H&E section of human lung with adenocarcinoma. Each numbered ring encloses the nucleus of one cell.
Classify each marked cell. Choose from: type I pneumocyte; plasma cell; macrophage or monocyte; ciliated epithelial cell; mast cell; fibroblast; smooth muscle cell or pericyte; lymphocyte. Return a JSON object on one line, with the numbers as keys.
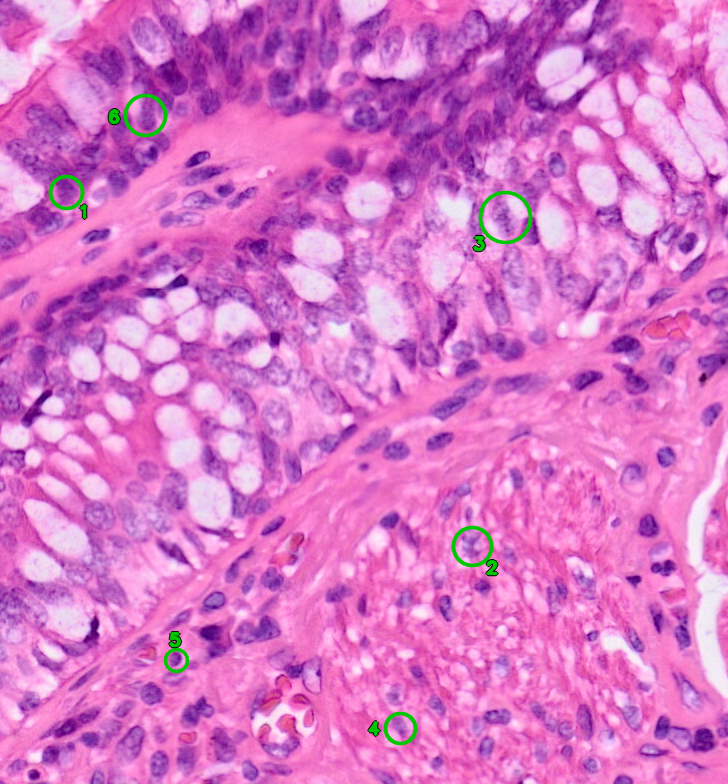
{"1": "ciliated epithelial cell", "2": "smooth muscle cell or pericyte", "3": "ciliated epithelial cell", "4": "smooth muscle cell or pericyte", "5": "lymphocyte", "6": "ciliated epithelial cell"}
